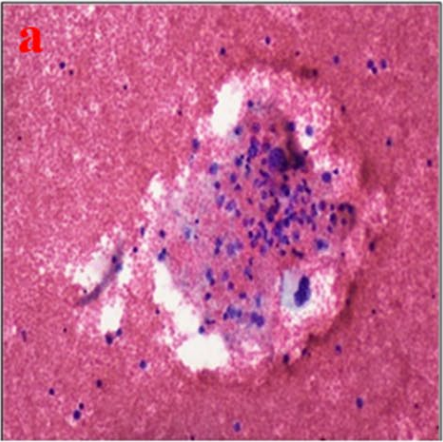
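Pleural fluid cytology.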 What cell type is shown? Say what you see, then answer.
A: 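A small cluster of cells lies in a pink background. A few cells have large, dark-staining nuclei much bigger than those of the surrounding cells.
Answer: atypical cells with large hyperchromatic nuclei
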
